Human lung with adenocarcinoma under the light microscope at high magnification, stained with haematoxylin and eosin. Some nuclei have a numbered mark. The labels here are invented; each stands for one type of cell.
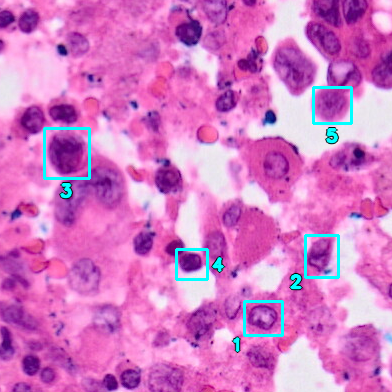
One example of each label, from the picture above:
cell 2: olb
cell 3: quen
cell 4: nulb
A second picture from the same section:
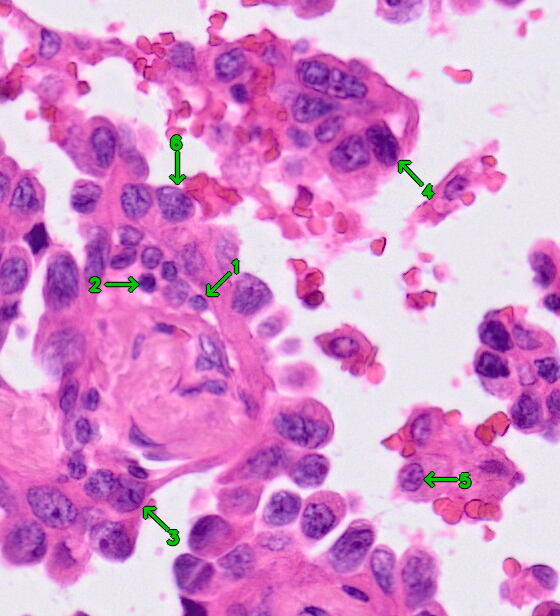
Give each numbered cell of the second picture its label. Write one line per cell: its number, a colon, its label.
1: nulb
2: nulb
3: quen
4: quen
5: olb
6: quen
